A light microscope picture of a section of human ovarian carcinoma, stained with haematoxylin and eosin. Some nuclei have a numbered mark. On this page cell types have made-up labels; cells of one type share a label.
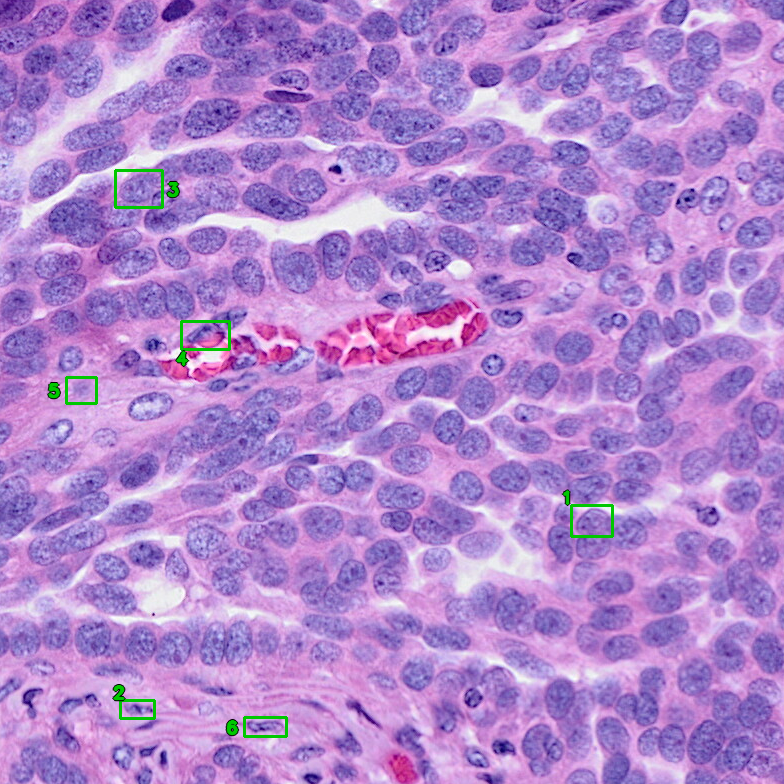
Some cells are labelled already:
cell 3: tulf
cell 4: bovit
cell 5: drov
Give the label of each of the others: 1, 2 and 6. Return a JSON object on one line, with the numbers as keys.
{"1": "tulf", "2": "drov", "6": "drov"}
